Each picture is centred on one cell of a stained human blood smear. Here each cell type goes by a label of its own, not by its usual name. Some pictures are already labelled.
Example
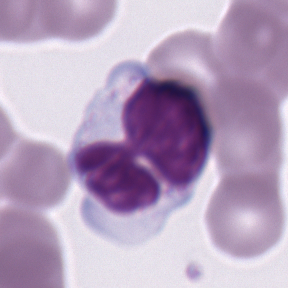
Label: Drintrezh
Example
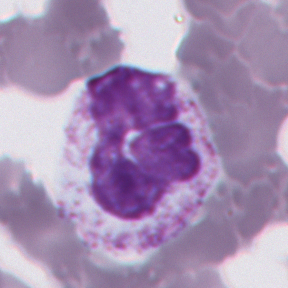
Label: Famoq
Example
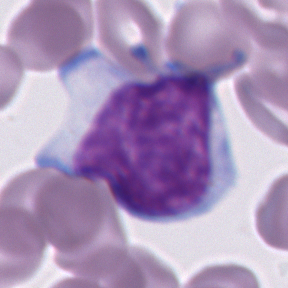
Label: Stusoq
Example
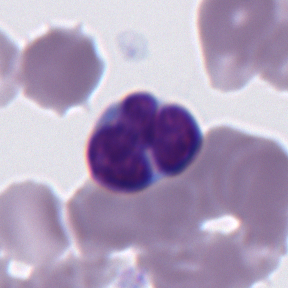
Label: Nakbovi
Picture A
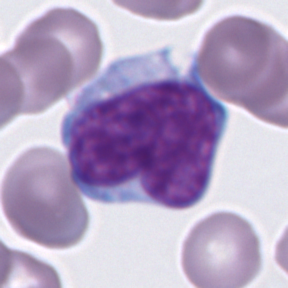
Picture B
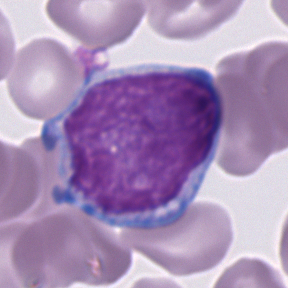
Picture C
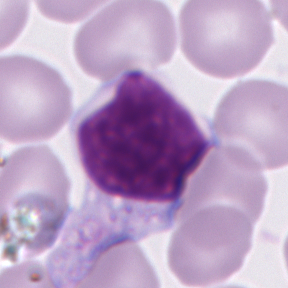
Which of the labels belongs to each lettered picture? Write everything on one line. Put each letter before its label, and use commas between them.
A Stusoq, B Stusoq, C Drintrezh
